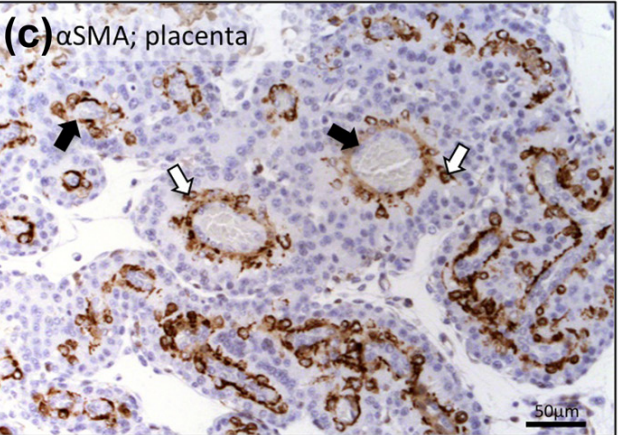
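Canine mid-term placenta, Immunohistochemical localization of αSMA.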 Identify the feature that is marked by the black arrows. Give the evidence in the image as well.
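Round profiles with a wide lumen containing pale homogeneous material. Each is encircled by a ring of brown-stained cells.
Answer: large maternal vessels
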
